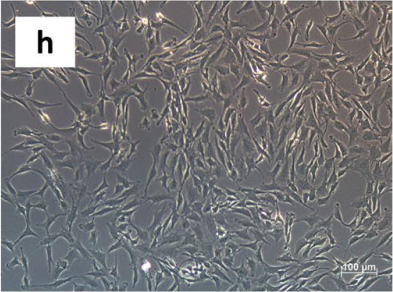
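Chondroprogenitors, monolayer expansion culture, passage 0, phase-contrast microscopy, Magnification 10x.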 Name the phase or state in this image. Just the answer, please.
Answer: Spindle-shaped morphology.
